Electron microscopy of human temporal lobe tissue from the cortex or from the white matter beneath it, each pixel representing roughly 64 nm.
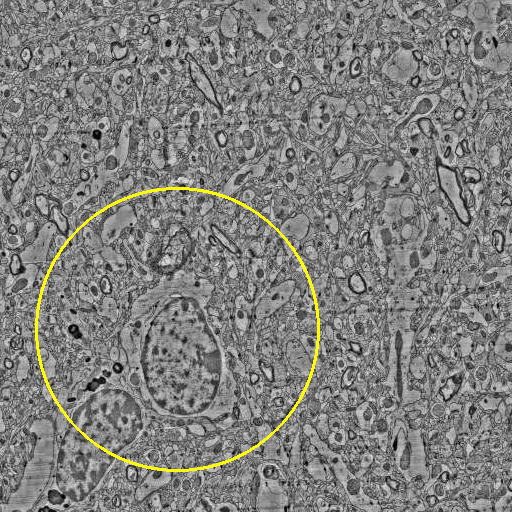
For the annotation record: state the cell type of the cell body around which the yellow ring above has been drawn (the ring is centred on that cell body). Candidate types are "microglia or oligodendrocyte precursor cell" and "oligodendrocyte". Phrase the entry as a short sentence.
The ringed cell is a microglial cell or oligodendrocyte precursor cell.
